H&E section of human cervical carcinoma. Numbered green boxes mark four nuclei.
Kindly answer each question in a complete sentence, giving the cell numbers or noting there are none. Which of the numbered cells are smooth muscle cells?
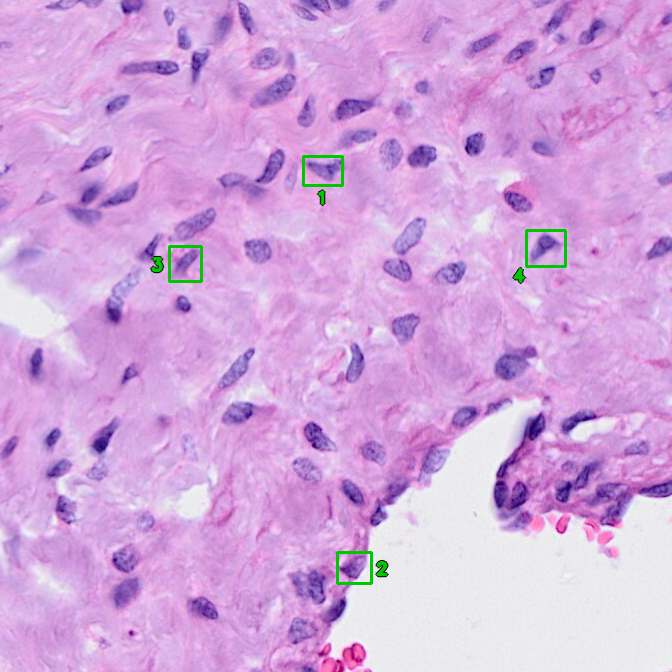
Only number 3 is a smooth muscle cell; none of the others are.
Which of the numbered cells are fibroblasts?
As for the cells numbered 1 and 4, they are fibroblasts.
